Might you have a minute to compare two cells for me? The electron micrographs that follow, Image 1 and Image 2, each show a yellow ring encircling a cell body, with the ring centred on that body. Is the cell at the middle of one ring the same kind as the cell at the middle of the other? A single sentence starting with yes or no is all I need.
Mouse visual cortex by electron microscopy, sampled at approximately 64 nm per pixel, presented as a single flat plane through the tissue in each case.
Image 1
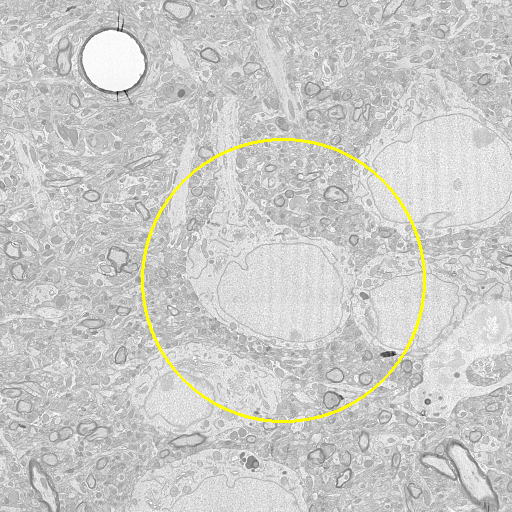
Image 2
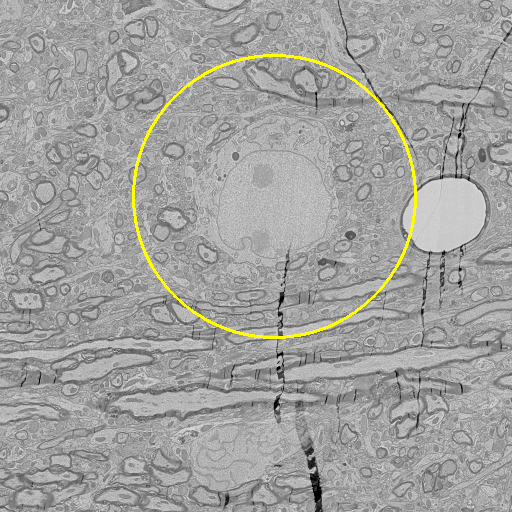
Yes, the cells in the middle of the two rings are of one shared kind.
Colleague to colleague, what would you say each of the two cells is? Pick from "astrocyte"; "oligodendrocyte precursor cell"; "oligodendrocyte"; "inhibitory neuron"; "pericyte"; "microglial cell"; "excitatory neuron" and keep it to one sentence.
Both the first and the second picture show an excitatory neuron in the ring.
